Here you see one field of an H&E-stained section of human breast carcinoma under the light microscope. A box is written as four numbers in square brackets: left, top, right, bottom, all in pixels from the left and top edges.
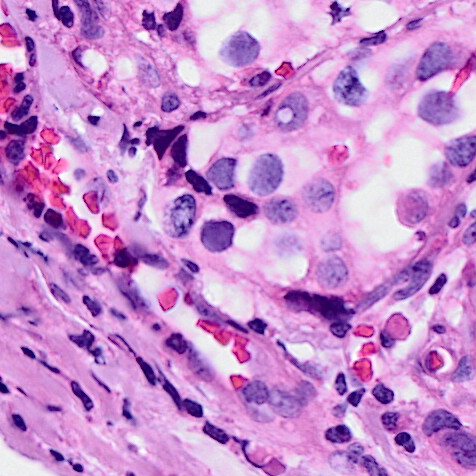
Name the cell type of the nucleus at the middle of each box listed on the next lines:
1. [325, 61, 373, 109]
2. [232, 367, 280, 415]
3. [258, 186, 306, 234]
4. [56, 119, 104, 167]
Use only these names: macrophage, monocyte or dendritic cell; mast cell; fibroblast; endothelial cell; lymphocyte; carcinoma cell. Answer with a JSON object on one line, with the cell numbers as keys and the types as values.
{"1": "carcinoma cell", "2": "endothelial cell", "3": "carcinoma cell", "4": "endothelial cell"}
